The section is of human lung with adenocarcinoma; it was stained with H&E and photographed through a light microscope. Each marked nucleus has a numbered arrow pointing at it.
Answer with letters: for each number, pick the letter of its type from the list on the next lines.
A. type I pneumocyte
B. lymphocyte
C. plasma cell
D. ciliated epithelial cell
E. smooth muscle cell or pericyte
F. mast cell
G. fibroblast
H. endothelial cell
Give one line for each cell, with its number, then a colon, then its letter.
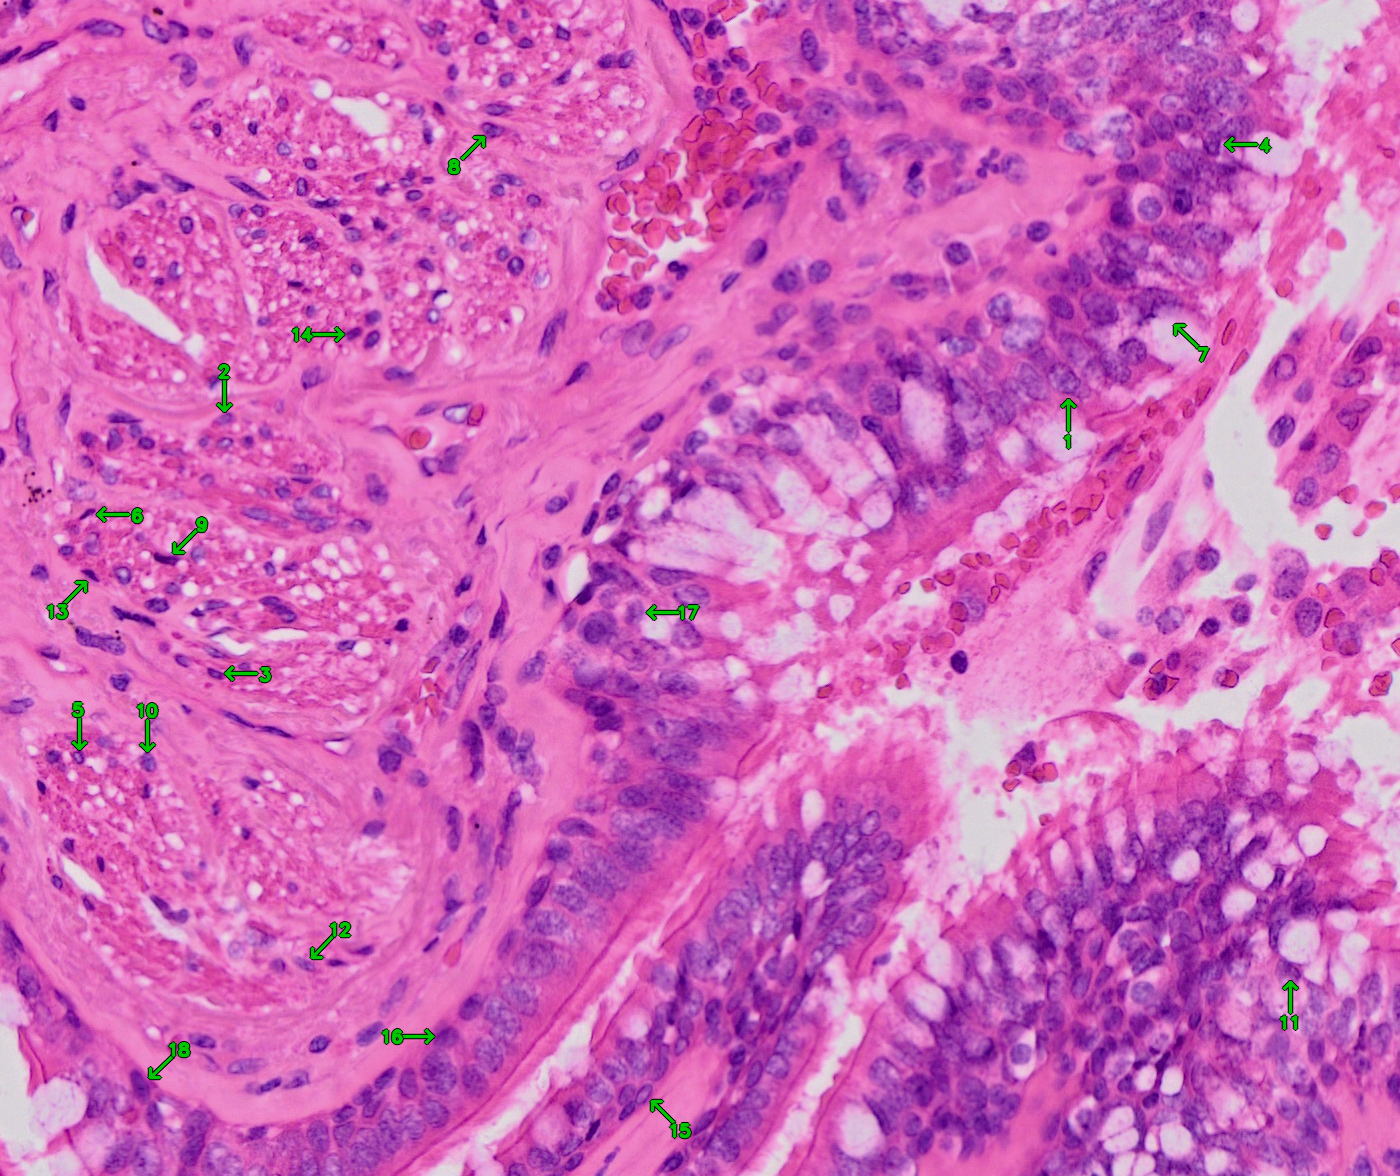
1: D
2: E
3: E
4: D
5: E
6: E
7: D
8: E
9: E
10: E
11: D
12: E
13: E
14: E
15: D
16: D
17: D
18: D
